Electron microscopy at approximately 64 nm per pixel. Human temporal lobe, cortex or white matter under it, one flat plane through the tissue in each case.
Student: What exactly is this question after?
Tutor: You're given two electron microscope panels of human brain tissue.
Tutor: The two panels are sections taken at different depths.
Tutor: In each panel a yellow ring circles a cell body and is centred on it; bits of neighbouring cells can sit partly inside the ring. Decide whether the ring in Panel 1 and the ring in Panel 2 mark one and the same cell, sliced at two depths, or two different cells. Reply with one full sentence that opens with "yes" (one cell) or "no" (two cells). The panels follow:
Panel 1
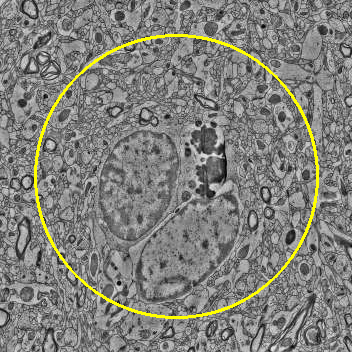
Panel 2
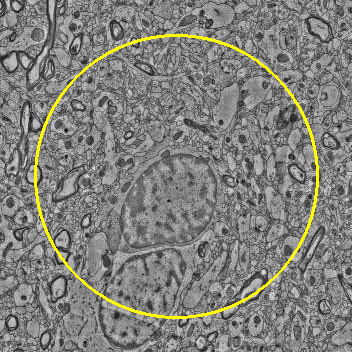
Yes, a single cell is marked twice, once by each yellow ring.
